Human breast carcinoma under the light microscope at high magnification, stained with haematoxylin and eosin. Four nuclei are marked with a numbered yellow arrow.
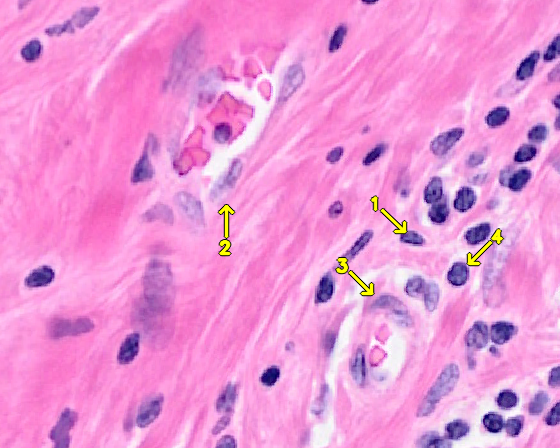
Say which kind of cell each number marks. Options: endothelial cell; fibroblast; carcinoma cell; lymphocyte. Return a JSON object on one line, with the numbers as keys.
{"1": "lymphocyte", "2": "endothelial cell", "3": "endothelial cell", "4": "lymphocyte"}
